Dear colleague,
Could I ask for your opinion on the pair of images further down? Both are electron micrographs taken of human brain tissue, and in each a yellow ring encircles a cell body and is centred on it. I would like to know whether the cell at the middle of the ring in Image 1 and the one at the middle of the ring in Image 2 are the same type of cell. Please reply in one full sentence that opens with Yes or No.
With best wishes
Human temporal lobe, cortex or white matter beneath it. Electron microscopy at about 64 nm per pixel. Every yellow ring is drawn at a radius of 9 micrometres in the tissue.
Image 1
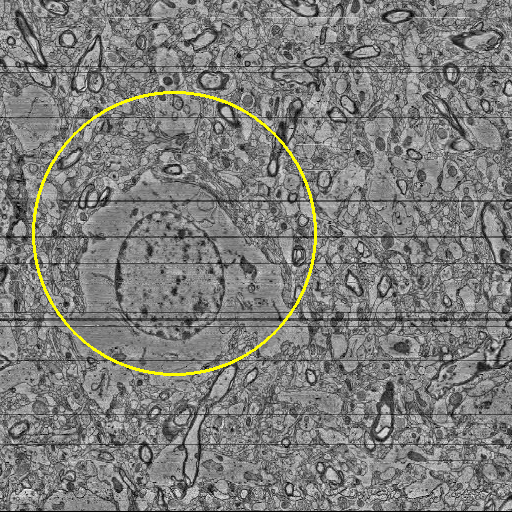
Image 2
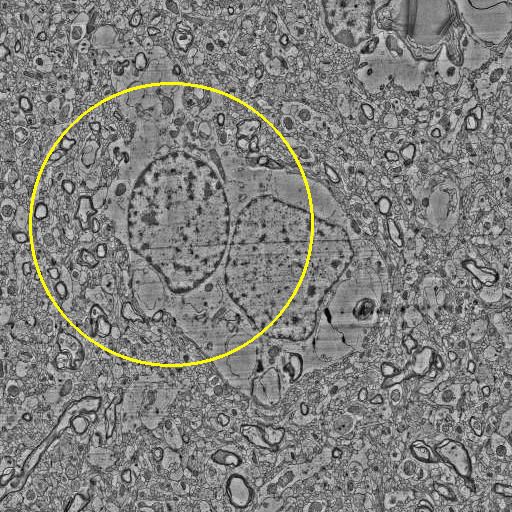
Yes, the cells at the ring centres in Image 1 and Image 2 are of one type.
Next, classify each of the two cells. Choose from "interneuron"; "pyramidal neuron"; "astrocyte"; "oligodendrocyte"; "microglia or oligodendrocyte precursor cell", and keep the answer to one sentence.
In each of the two pictures, the ringed cell is an astrocyte.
